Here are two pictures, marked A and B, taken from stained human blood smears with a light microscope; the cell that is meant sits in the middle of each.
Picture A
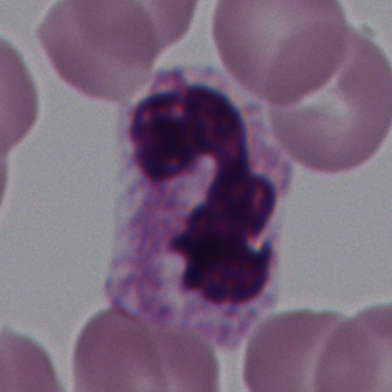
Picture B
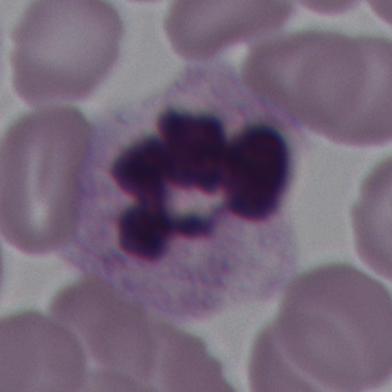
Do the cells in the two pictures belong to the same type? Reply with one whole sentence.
Yes, both cells are segmented neutrophils.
